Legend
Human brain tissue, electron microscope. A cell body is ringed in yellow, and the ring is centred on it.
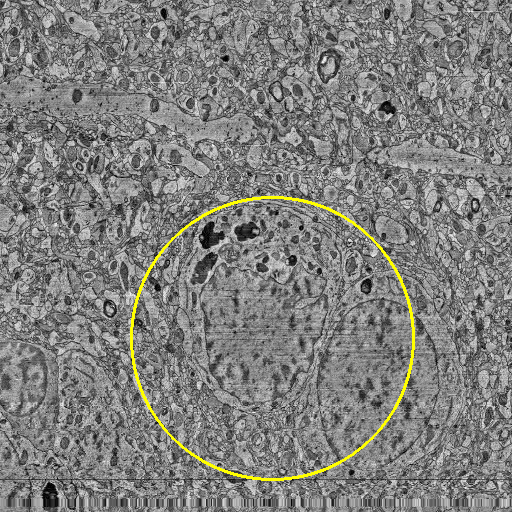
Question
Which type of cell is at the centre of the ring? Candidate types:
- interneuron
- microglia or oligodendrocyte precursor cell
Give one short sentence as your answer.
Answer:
The yellow ring is centred here on an interneuron.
